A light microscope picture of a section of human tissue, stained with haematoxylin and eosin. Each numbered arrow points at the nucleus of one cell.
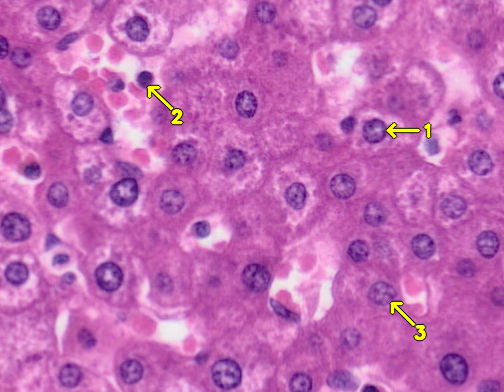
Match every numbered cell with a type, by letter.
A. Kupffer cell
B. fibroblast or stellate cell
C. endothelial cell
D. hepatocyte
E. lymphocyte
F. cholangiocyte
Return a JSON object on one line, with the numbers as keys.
{"1": "D", "2": "E", "3": "D"}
